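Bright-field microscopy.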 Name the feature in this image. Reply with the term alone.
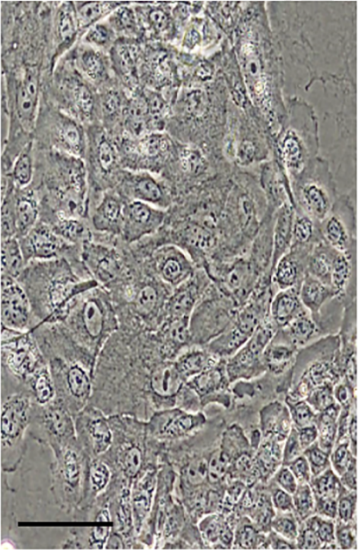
‘cobblestone’ morphology.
